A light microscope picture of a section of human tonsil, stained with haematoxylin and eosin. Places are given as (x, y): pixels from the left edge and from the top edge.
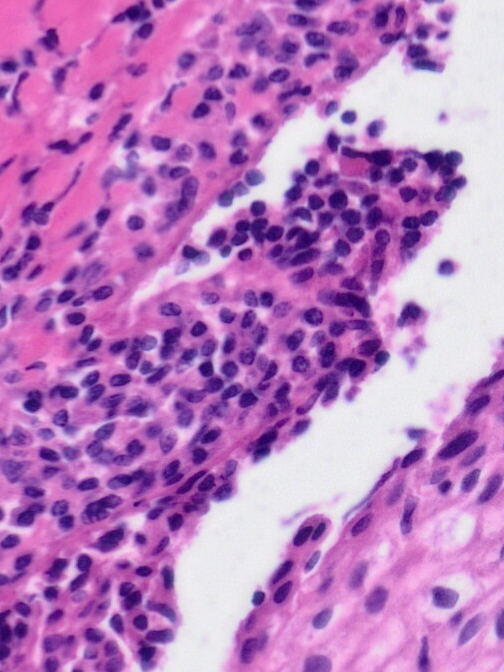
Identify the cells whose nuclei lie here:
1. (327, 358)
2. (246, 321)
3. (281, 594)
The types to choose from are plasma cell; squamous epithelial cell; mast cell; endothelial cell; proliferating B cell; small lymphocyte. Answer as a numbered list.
1. plasma cell
2. plasma cell
3. squamous epithelial cell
